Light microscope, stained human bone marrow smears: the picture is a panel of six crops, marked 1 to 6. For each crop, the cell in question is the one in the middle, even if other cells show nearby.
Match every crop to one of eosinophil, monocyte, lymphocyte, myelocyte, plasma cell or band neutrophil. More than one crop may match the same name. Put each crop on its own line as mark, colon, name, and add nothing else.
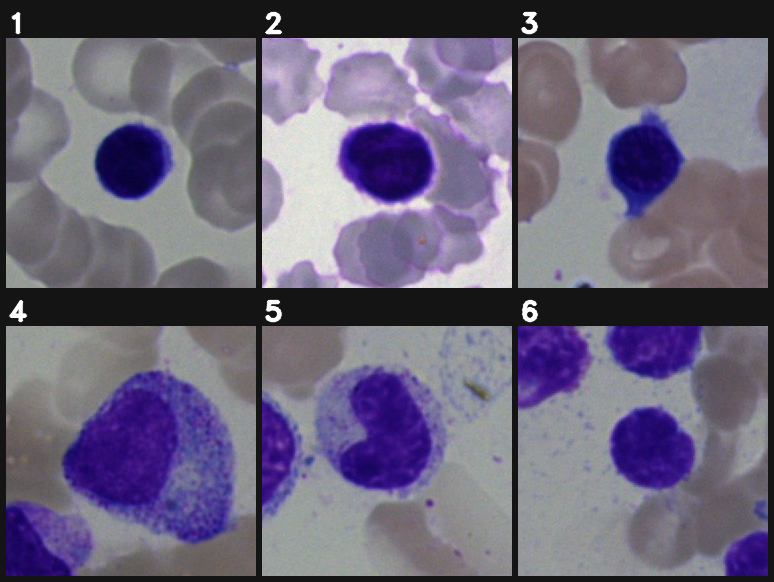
1: lymphocyte
2: lymphocyte
3: lymphocyte
4: myelocyte
5: band neutrophil
6: lymphocyte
